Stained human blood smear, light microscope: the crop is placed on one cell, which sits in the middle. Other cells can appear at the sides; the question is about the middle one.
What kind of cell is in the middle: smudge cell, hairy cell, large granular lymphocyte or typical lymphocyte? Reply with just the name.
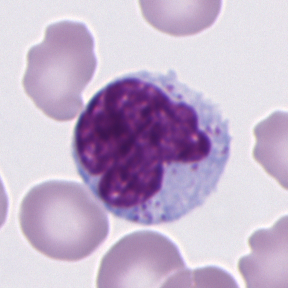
large granular lymphocyte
